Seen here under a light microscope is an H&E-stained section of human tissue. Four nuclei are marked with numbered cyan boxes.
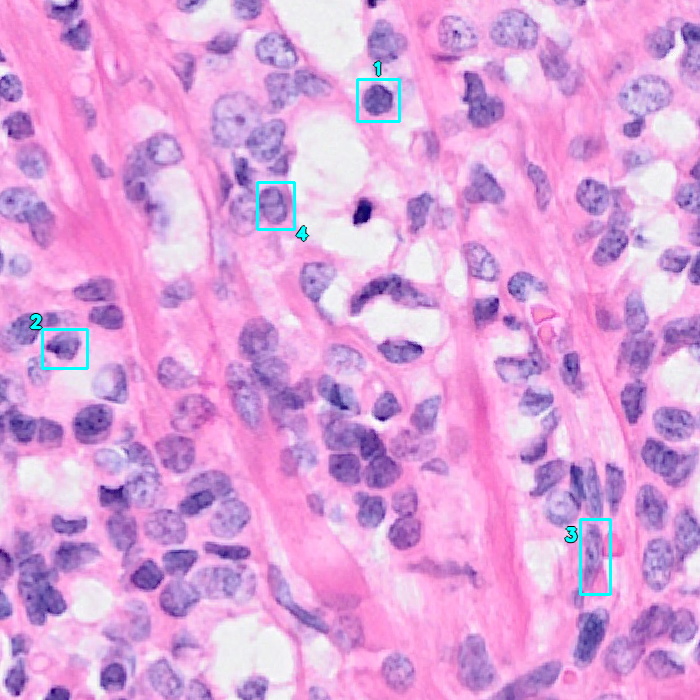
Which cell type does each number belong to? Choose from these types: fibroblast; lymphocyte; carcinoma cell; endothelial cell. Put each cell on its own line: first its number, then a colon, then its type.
1: carcinoma cell
2: carcinoma cell
3: endothelial cell
4: carcinoma cell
